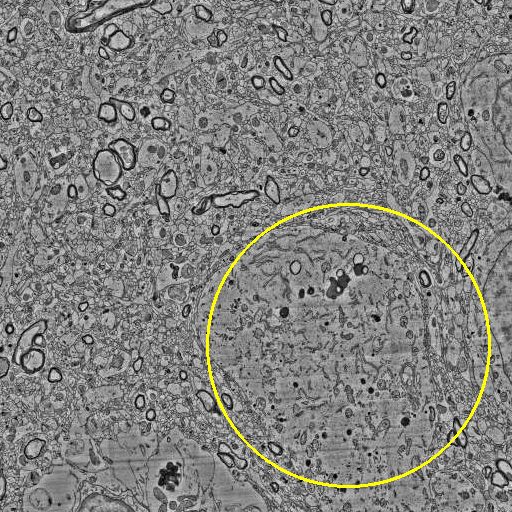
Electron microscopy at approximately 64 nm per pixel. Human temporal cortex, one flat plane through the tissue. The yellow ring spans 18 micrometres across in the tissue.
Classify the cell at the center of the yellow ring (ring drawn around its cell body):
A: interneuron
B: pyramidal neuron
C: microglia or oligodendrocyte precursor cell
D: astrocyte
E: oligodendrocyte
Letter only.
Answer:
B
